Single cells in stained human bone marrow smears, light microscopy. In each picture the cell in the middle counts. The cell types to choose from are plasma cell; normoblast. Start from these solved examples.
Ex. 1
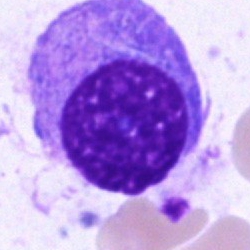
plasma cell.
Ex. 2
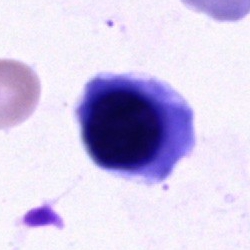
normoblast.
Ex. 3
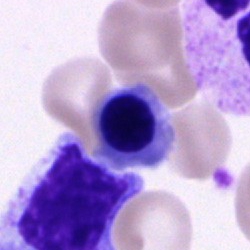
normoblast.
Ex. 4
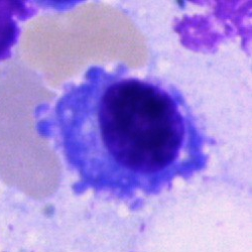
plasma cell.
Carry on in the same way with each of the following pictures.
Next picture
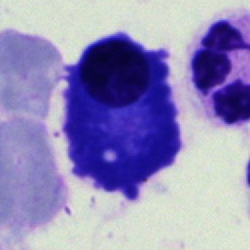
plasma cell.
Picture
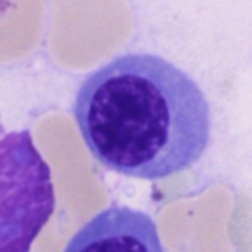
normoblast.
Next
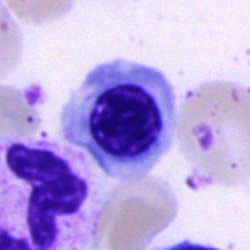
normoblast.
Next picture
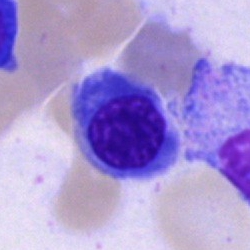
normoblast.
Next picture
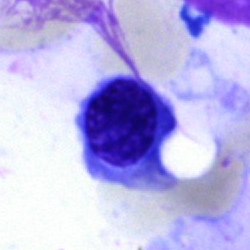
normoblast.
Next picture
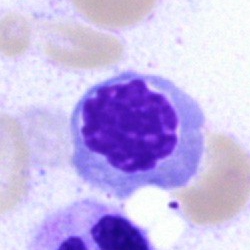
normoblast.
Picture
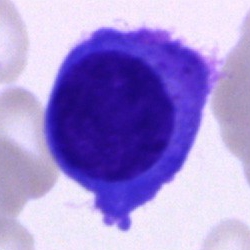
plasma cell.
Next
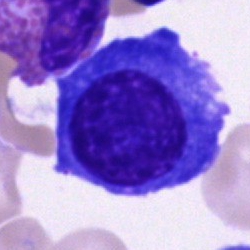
plasma cell.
